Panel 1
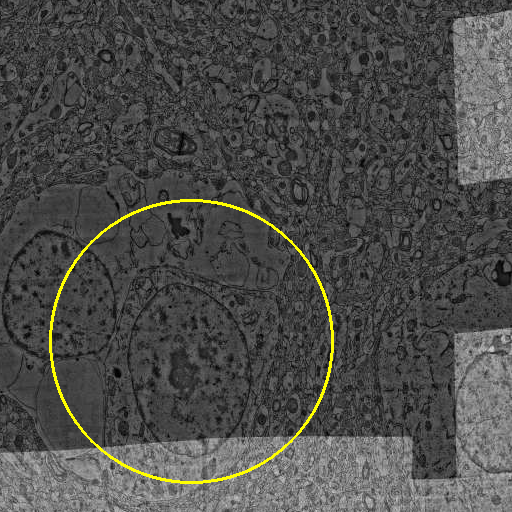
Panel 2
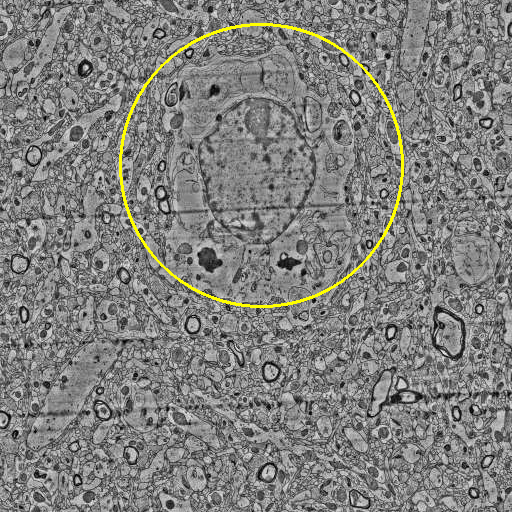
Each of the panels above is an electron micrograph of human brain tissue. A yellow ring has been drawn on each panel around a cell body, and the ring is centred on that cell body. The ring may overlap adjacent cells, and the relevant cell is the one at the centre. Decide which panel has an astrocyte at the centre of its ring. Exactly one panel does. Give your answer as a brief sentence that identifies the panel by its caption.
Panel 2 is the one with it at the centre of the ring.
